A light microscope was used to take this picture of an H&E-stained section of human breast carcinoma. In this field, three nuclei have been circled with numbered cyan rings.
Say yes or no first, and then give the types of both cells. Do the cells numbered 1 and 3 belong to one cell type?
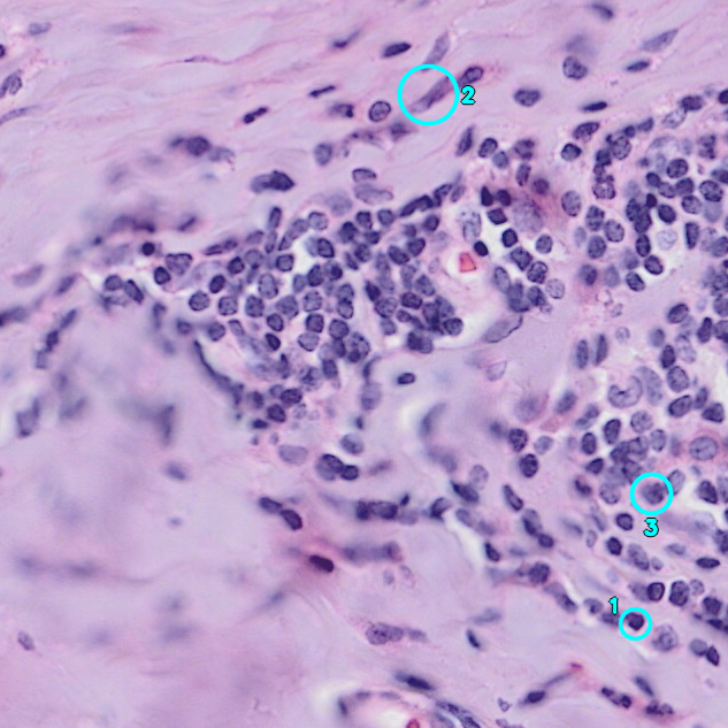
Yes, both are lymphocytes.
